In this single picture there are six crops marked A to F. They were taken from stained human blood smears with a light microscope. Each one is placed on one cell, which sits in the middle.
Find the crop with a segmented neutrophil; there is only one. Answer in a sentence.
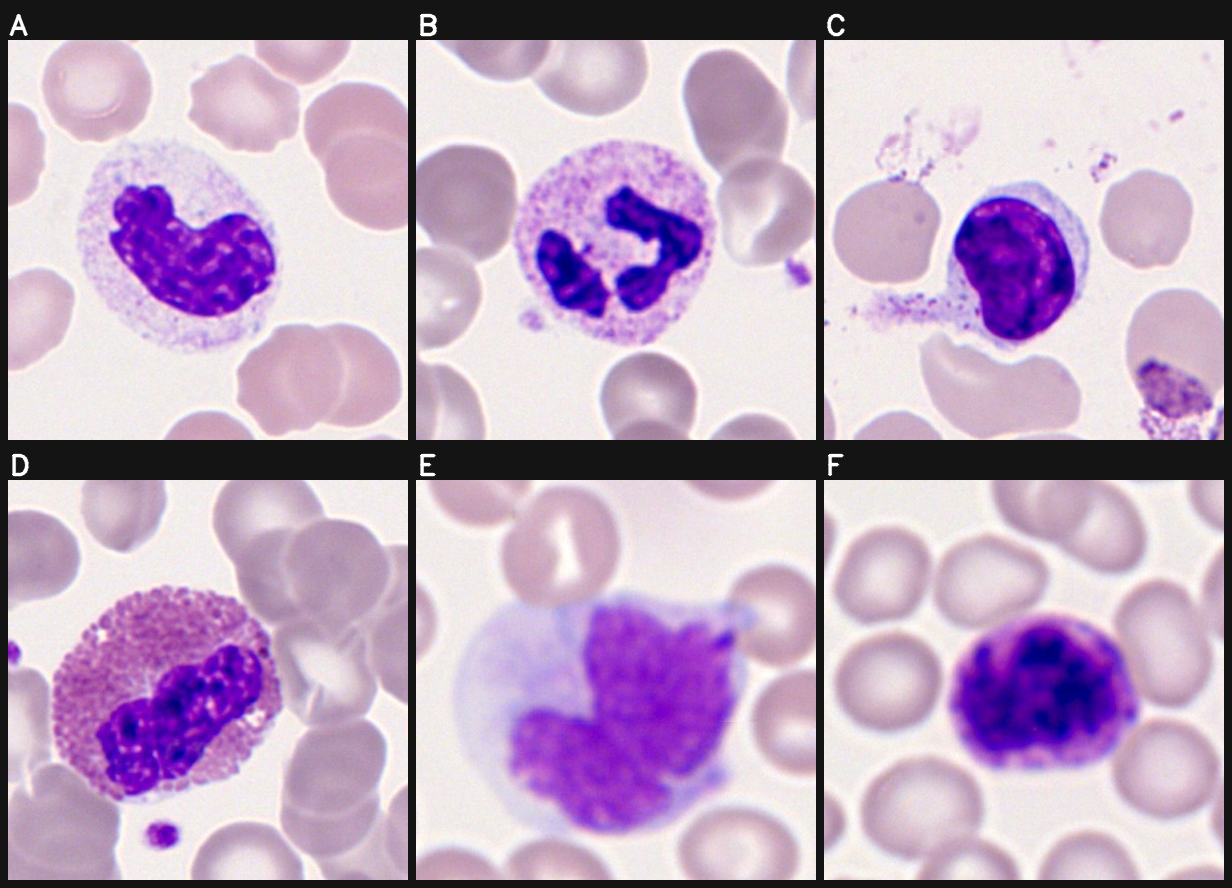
Selected crop: B, which is the one that shows a segmented neutrophil.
